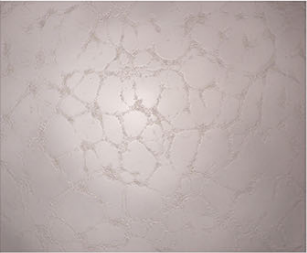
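Endothelial cells on a gel matrix forming a network of thin cords. Elongated cells connect into branching strands that meet at nodes with small aggregates of rounded cells, enclosing open polygonal spaces. The strands are thin and in places incomplete, and the mesh is irregular across the field. Cells are pale and refractile on a grey background; nuclei are not resolved at this magnification.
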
